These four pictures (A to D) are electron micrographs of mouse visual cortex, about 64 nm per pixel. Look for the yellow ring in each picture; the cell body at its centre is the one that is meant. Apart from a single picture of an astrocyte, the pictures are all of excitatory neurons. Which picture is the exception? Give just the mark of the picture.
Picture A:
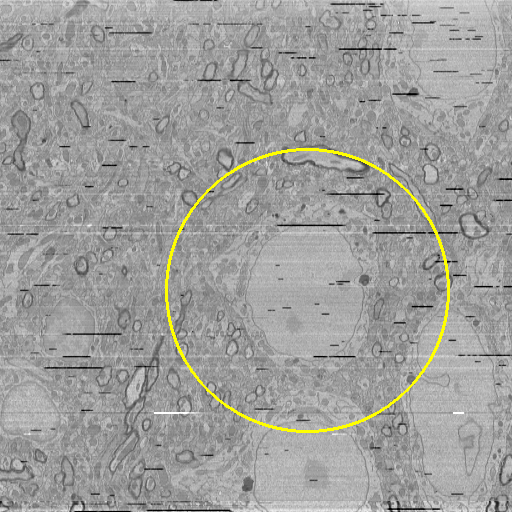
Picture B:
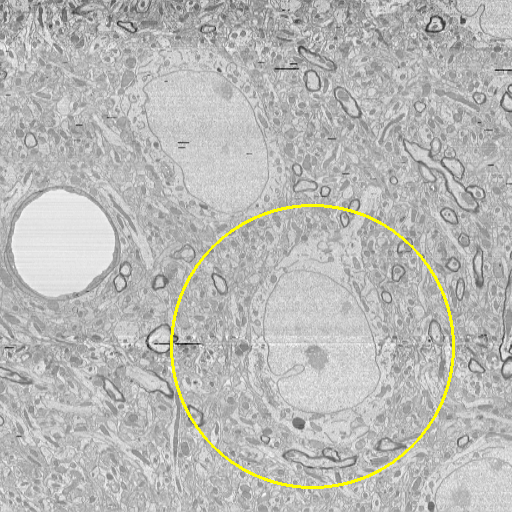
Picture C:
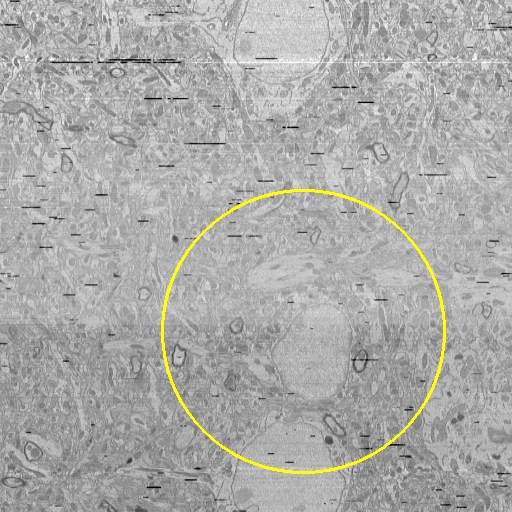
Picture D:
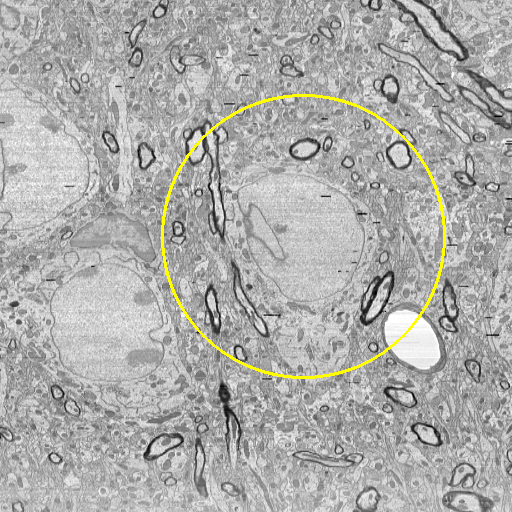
C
